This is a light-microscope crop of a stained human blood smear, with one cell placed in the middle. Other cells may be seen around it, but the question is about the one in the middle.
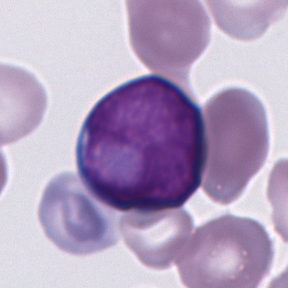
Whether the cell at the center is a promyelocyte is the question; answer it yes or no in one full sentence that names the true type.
No, the cell in the middle is a blast; it is not a promyelocyte.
